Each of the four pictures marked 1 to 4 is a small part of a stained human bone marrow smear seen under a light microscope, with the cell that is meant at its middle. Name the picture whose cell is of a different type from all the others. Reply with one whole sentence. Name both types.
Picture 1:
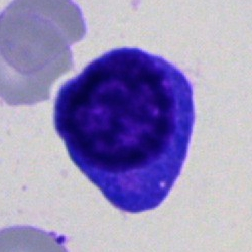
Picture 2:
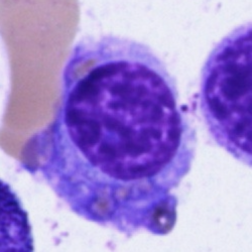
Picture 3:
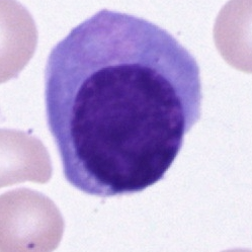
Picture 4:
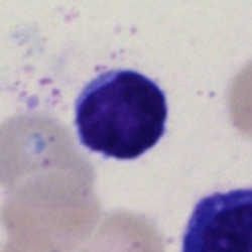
The different one is picture 4; it shows a lymphocyte, whereas all the others show plasma cells.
